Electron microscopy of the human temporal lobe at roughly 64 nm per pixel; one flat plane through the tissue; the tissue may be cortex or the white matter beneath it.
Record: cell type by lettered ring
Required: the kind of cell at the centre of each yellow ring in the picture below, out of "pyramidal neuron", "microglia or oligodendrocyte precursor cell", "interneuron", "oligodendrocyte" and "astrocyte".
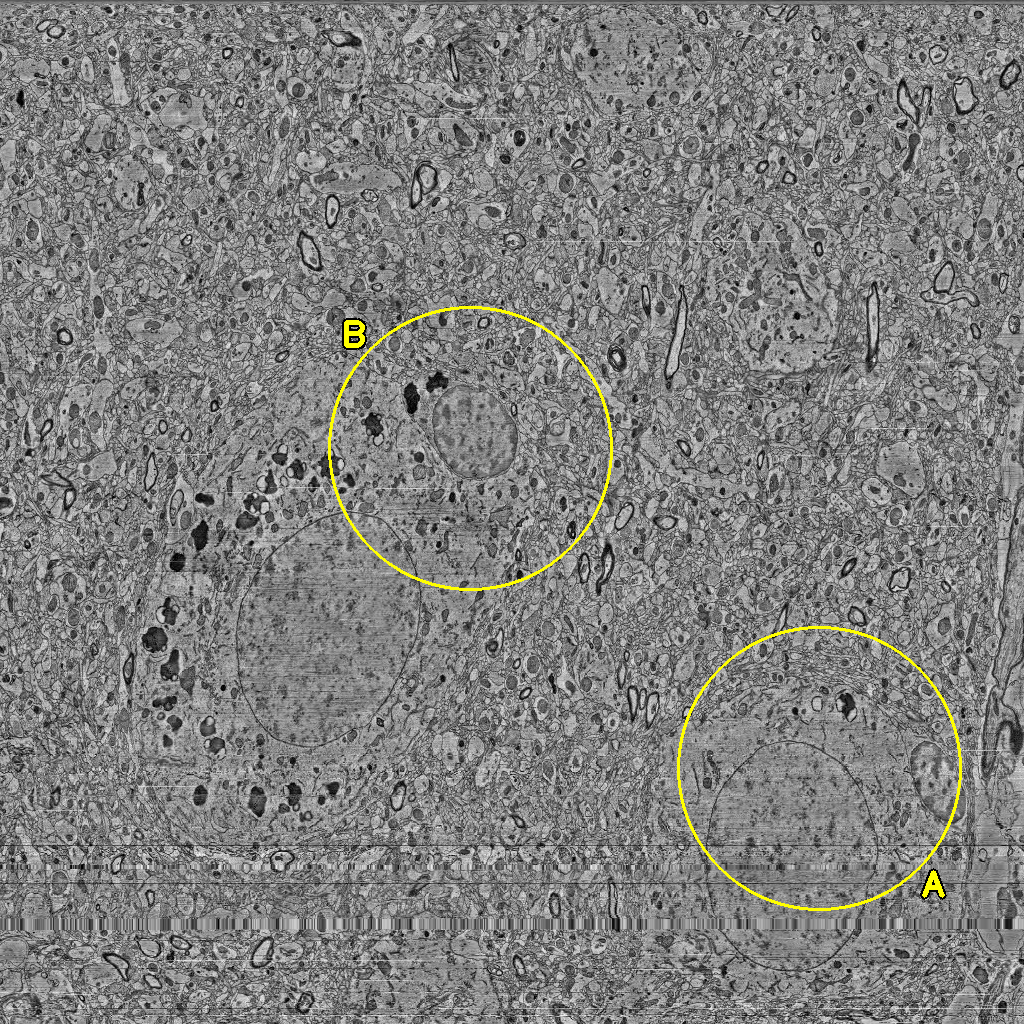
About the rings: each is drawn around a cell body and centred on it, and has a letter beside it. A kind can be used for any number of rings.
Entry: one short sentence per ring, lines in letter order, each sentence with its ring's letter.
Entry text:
At ring A we have a pyramidal neuron.
At ring B we have an oligodendrocyte.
